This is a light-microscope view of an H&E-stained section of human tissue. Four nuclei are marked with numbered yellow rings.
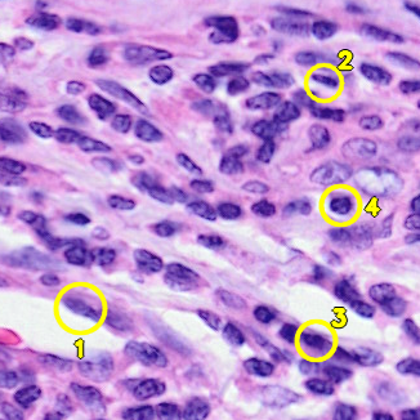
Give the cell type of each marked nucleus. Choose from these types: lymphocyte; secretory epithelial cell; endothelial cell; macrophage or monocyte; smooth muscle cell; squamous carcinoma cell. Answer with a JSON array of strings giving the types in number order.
["endothelial cell", "lymphocyte", "lymphocyte", "lymphocyte"]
